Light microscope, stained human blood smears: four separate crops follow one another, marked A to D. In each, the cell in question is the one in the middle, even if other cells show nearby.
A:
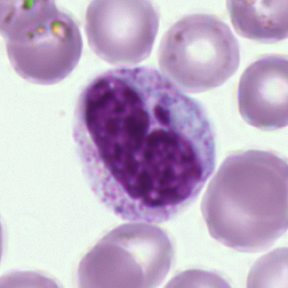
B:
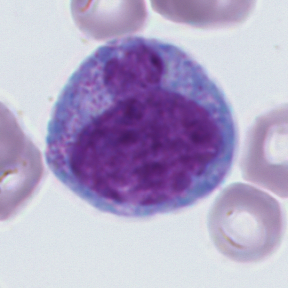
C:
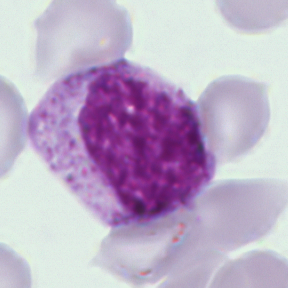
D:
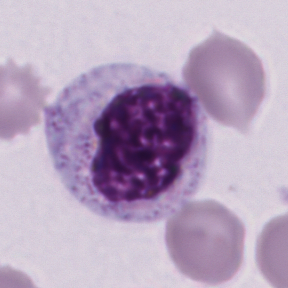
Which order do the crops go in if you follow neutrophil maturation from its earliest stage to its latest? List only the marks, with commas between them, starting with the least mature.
B, C, D, A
